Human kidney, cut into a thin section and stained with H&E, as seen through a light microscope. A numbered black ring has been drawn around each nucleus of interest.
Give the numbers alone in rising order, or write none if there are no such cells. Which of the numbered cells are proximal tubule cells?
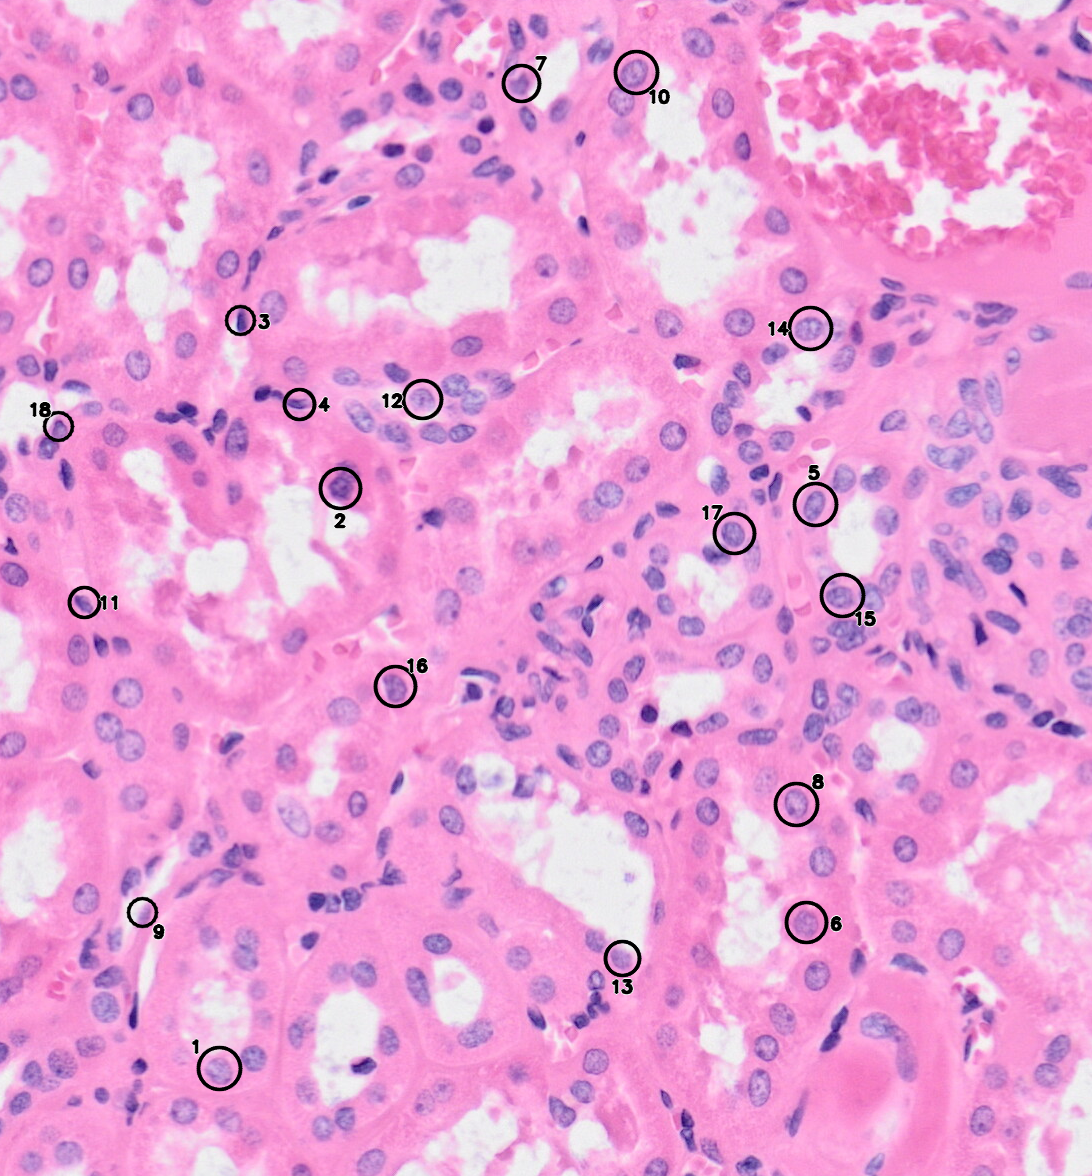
2, 6, 8, 10, 16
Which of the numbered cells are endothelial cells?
3, 4, 11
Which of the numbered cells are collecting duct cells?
5, 7, 9, 12, 14, 15, 17, 18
